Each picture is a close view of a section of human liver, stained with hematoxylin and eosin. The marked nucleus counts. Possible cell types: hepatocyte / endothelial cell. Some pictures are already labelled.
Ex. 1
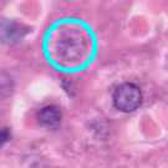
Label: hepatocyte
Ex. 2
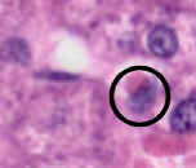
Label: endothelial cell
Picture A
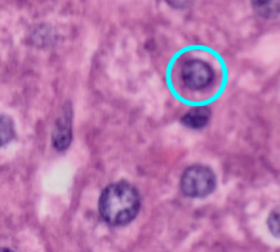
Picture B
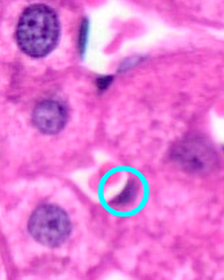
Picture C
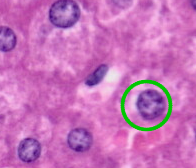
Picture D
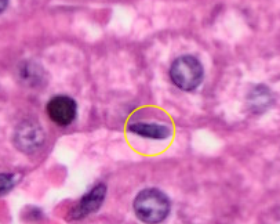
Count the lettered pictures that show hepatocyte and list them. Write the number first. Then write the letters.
2, namely A, C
